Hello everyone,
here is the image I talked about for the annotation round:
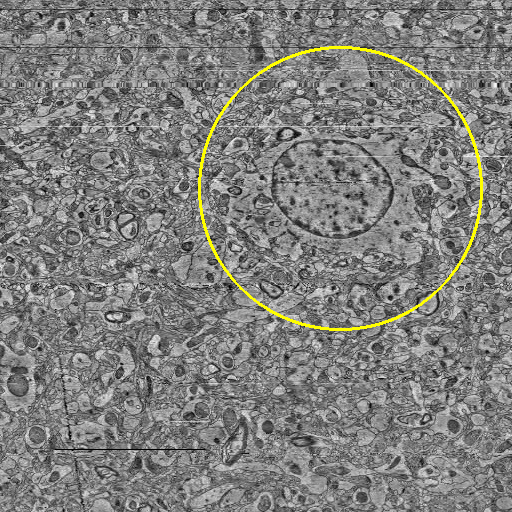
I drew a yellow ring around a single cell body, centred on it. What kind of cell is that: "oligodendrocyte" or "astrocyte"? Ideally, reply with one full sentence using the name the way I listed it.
The cell your yellow ring is centred on is an astrocyte, going by your list.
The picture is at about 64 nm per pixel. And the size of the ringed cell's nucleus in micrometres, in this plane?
In this plane, the nucleus of the cell at the centre of the ring measures about 8 by 6 micrometres.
